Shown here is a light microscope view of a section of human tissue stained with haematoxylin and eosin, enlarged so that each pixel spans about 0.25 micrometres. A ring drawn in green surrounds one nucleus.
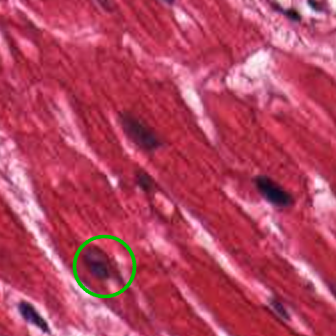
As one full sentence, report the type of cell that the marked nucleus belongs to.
The nucleus marked in the section is that of a cardiomyocyte.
